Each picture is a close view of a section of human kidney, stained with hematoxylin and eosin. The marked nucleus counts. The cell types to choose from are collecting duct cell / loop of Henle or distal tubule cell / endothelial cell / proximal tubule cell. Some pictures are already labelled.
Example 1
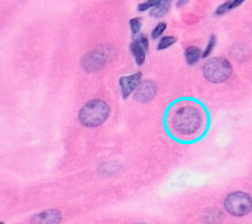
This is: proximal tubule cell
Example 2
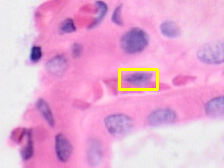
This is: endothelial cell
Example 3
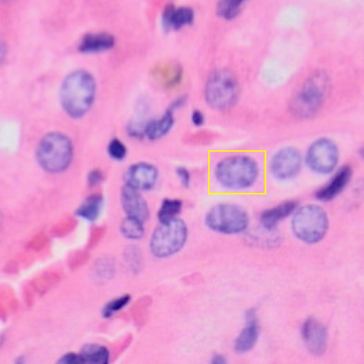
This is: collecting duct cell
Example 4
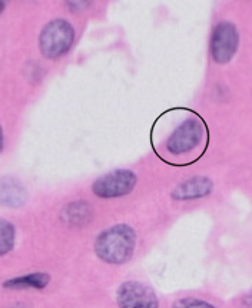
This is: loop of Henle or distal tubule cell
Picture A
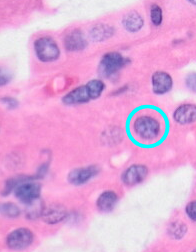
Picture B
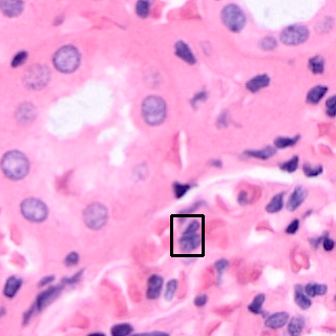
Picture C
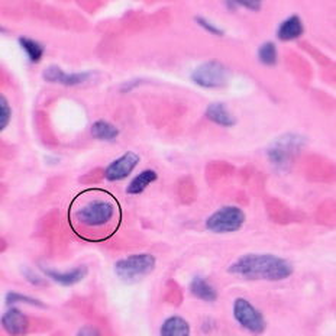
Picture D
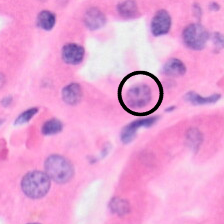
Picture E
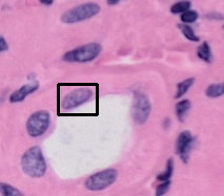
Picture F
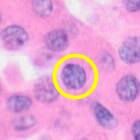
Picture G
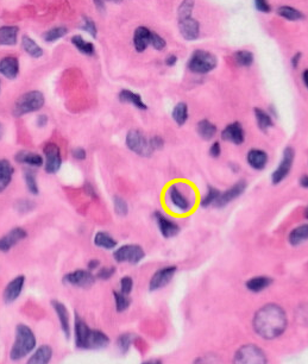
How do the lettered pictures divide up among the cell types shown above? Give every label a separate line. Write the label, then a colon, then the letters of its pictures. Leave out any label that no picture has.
loop of Henle or distal tubule cell: A, D, E, F
endothelial cell: B, C, G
